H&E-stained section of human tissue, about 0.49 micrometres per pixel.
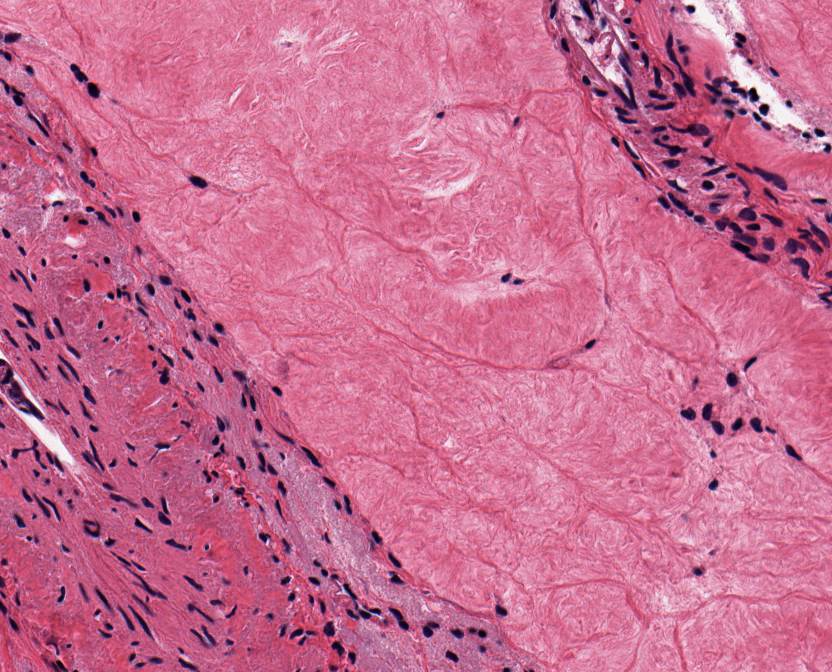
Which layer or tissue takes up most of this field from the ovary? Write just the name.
corpus albicans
